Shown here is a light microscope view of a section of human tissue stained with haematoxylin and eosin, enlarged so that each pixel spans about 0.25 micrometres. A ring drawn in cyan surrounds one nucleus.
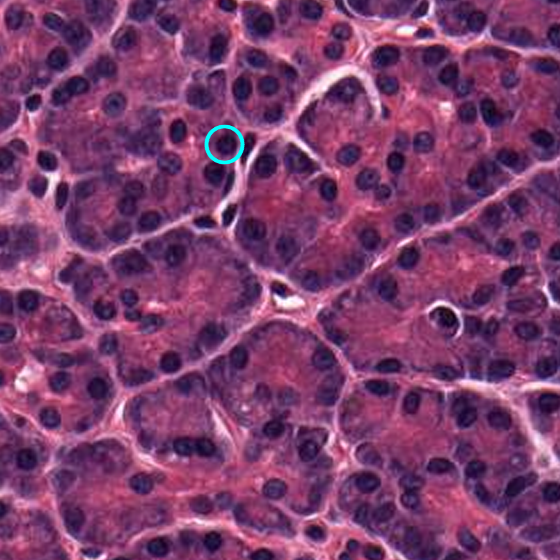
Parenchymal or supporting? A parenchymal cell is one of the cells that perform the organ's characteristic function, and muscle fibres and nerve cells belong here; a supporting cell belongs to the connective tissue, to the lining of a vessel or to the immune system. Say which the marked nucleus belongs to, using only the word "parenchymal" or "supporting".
parenchymal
